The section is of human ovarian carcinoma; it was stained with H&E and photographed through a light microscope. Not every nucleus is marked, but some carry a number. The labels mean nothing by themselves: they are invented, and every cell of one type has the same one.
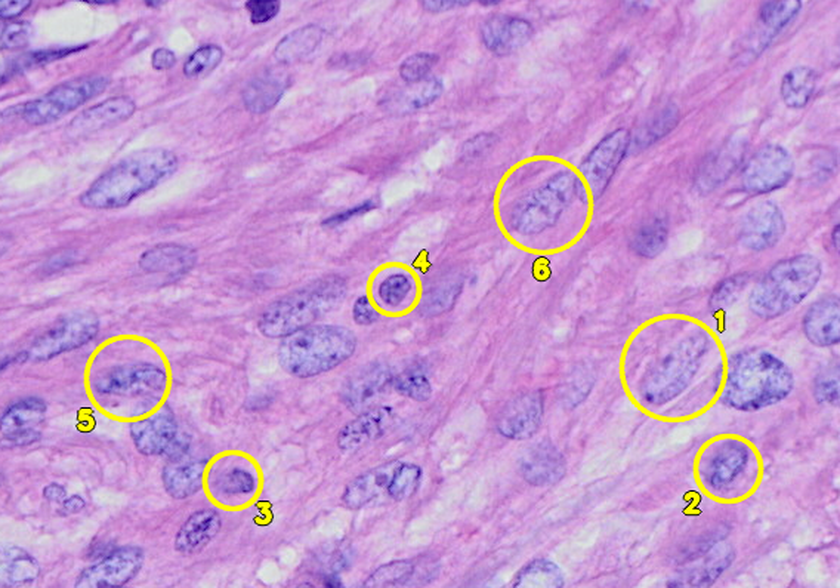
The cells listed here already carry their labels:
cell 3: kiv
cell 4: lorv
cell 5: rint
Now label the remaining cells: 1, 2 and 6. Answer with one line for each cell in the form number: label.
1: rint
2: rint
6: rint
